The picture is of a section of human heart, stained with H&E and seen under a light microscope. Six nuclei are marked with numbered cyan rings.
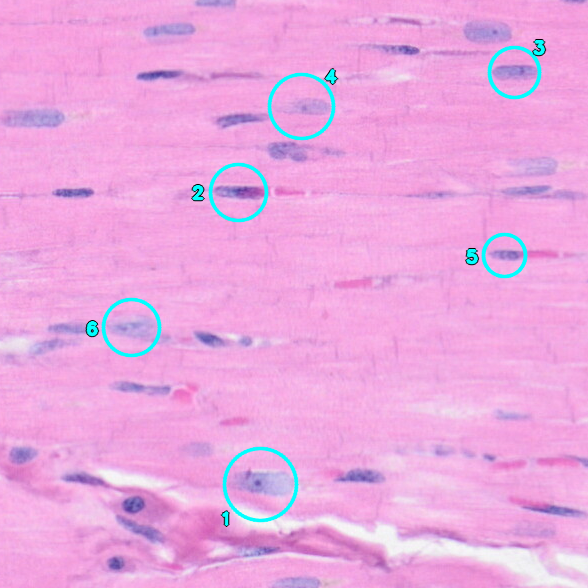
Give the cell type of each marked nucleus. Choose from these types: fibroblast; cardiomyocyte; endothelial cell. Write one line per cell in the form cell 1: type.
cell 1: cardiomyocyte
cell 2: endothelial cell
cell 3: cardiomyocyte
cell 4: cardiomyocyte
cell 5: endothelial cell
cell 6: cardiomyocyte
